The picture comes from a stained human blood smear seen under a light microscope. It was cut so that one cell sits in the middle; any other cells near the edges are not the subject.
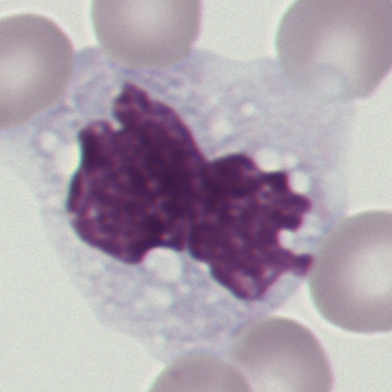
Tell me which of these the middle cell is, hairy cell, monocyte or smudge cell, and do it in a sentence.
In this crop, the cell at the very middle is a monocyte.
